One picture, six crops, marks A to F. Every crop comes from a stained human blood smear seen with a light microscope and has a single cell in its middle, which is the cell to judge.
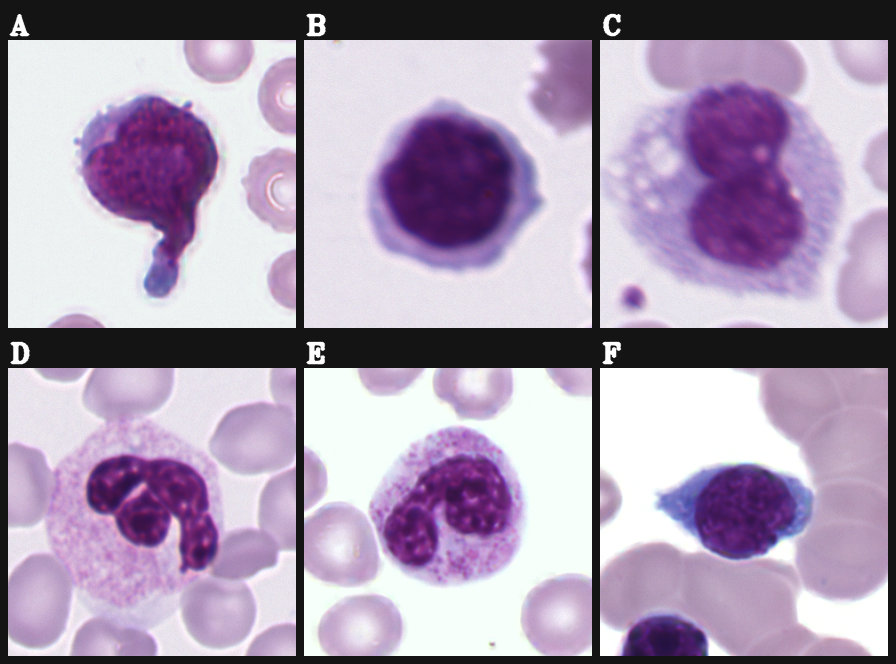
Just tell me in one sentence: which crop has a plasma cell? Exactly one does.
Among all the crops given here, the one with a plasma cell is crop F.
